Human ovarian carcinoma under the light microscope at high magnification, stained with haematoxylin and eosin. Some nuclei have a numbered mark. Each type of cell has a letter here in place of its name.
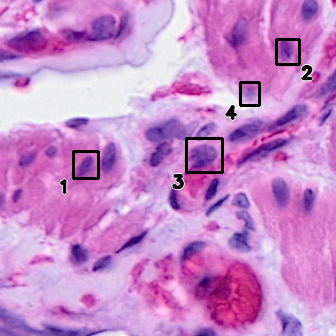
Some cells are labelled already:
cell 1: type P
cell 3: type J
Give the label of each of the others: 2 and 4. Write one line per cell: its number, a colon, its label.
2: type P
4: type P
